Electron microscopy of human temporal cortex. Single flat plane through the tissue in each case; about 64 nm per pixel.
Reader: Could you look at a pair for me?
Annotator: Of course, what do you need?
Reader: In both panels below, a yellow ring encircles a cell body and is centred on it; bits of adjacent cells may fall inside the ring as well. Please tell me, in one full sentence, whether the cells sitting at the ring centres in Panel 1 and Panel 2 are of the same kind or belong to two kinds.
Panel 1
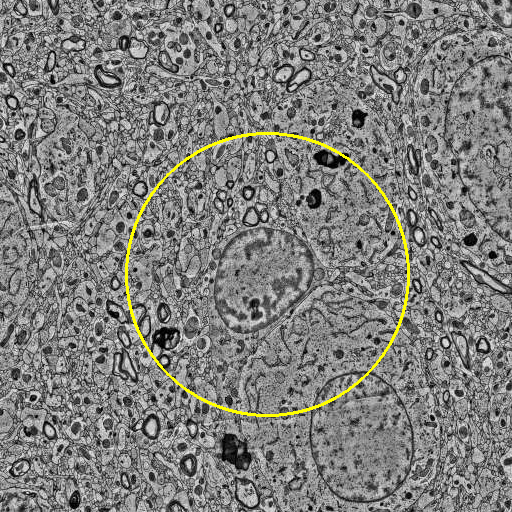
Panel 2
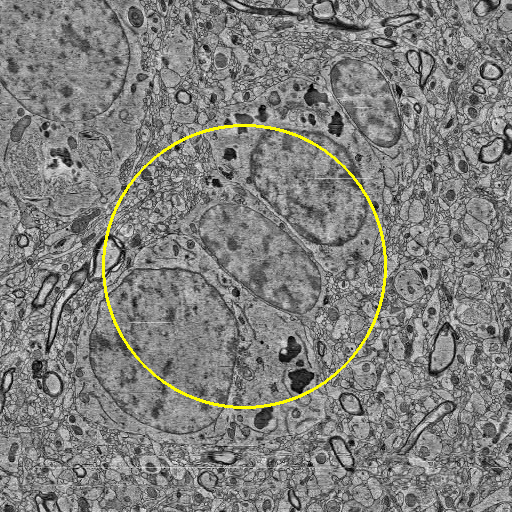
The cell at the ring's centre in Panel 1 and the one in Panel 2 are of the same kind.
